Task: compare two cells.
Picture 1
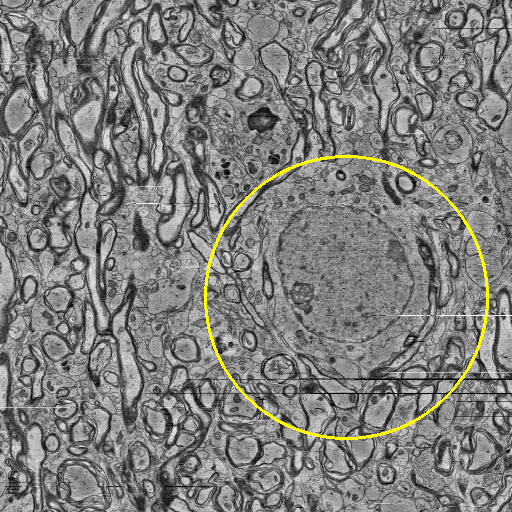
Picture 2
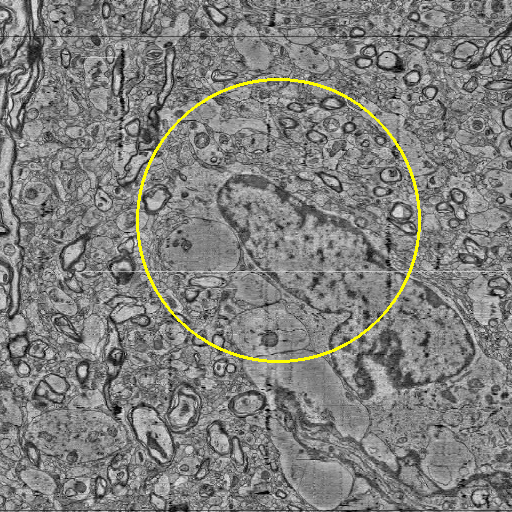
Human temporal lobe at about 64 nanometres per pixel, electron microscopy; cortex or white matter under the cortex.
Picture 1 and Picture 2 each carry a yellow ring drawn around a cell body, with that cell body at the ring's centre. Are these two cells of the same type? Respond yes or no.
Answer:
no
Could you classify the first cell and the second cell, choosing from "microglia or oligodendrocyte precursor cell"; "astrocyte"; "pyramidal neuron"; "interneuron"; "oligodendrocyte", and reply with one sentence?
The second cell is a microglial cell or oligodendrocyte precursor cell, while the first is an astrocyte.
